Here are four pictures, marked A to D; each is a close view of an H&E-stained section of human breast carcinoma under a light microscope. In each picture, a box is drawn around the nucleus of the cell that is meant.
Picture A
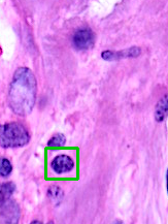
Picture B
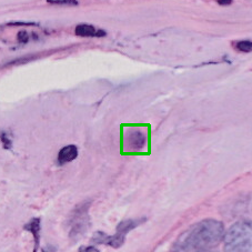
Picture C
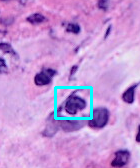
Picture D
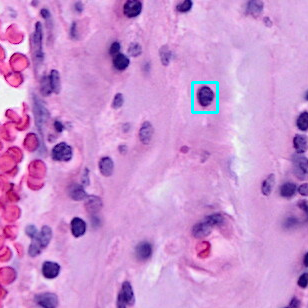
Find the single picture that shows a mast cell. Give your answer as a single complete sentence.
The mast cell is the one in picture B.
